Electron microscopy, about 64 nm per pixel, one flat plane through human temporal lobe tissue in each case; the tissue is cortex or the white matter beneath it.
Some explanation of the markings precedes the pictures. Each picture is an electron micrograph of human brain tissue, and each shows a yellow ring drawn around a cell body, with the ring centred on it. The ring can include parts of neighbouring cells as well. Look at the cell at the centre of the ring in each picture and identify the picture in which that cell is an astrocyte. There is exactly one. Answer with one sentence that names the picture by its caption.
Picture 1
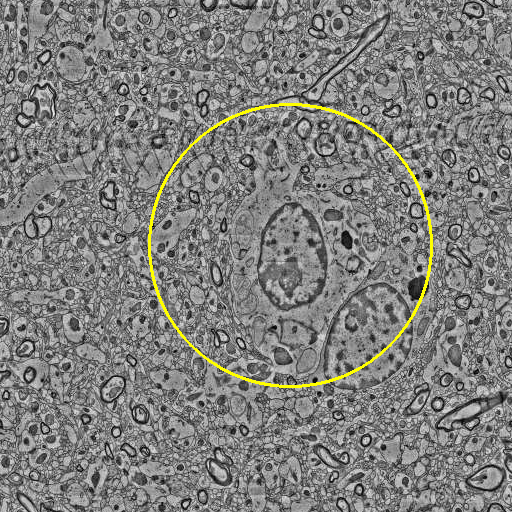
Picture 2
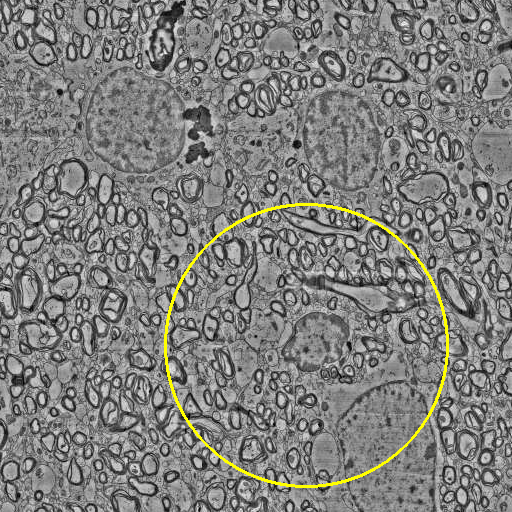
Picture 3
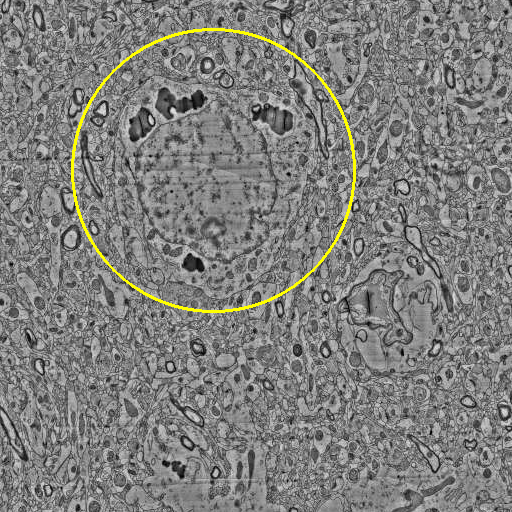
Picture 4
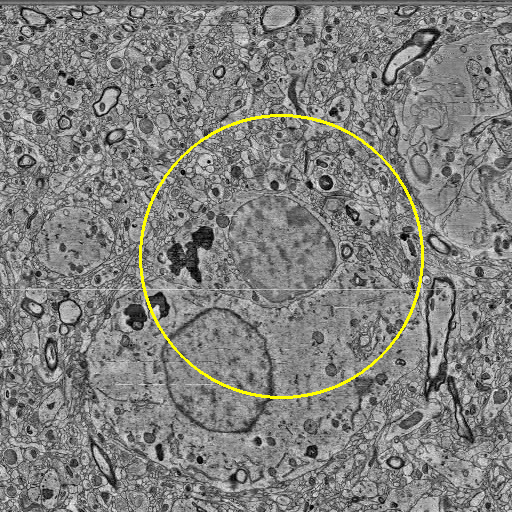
In Picture 1, the cell at the centre of the ring is of that kind.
